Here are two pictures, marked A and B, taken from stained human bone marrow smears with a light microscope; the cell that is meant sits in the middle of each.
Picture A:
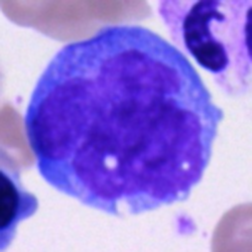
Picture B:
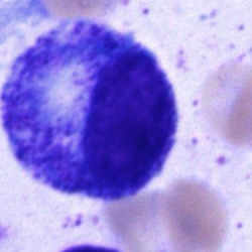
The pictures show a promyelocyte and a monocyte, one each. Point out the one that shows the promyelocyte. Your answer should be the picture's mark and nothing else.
B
